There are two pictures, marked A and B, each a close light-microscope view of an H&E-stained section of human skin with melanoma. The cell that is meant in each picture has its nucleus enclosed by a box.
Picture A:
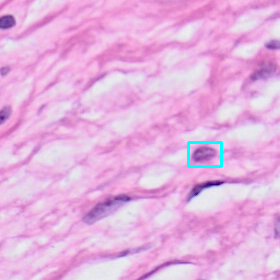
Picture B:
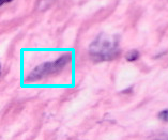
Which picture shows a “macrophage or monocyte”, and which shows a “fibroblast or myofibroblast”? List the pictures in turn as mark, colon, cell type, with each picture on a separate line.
A: macrophage or monocyte
B: fibroblast or myofibroblast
